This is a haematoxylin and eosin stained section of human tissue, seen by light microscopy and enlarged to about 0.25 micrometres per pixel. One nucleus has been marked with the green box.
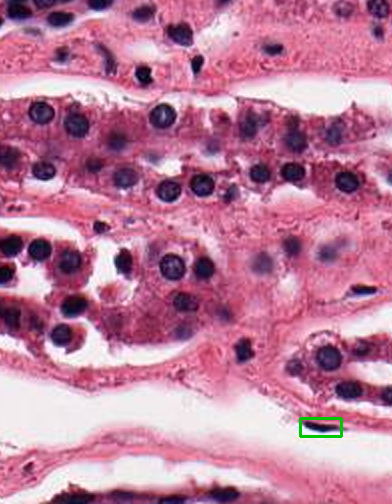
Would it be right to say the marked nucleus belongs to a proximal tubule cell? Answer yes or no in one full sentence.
No, the marked nucleus is not from a proximal tubule cell; a supporting cell is its source.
